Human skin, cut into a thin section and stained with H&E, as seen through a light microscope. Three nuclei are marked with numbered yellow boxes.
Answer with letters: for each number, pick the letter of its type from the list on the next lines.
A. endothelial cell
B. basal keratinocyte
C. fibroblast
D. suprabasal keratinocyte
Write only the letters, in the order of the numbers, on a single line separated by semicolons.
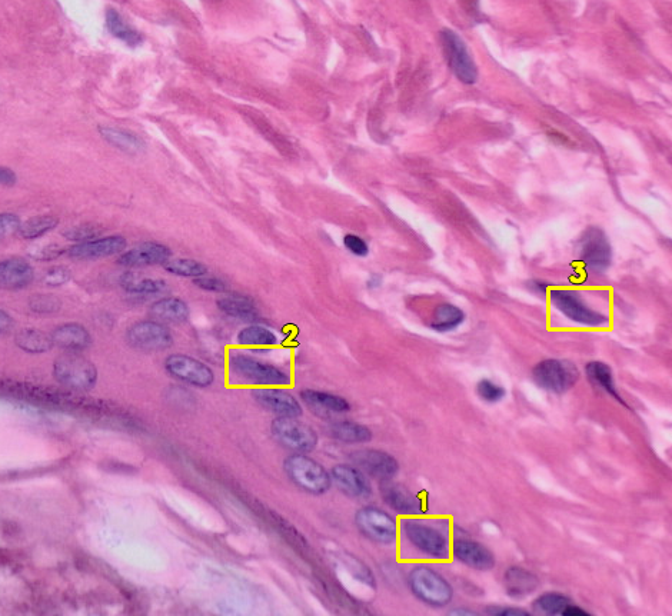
B; B; C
